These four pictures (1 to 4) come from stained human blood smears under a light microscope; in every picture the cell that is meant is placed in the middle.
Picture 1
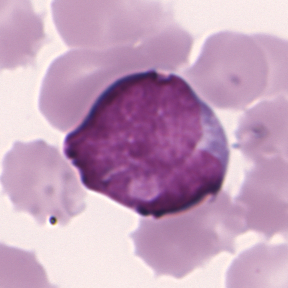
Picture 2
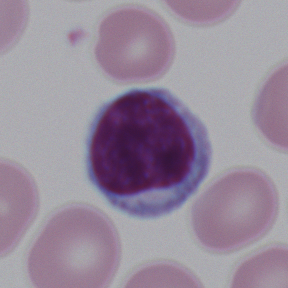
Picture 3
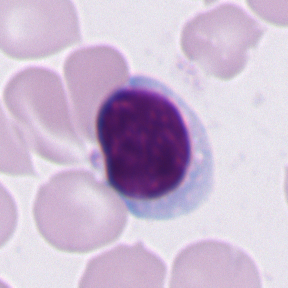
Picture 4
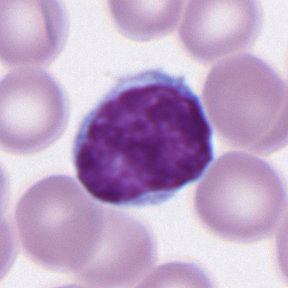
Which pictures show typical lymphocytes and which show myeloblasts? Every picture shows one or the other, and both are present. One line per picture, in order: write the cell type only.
myeloblast
typical lymphocyte
typical lymphocyte
typical lymphocyte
